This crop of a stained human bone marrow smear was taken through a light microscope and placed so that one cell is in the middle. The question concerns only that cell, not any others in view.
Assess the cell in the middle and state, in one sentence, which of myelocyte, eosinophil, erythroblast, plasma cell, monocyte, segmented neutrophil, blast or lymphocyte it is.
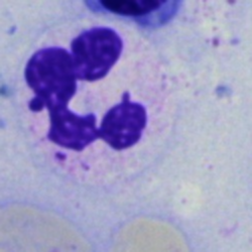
At the crop's centre, the cell is a segmented neutrophil.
